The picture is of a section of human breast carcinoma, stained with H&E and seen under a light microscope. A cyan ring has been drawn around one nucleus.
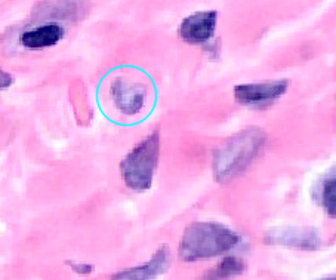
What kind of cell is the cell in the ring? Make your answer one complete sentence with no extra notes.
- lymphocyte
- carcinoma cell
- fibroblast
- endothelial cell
As classified here, the cell in the ring is an endothelial cell.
